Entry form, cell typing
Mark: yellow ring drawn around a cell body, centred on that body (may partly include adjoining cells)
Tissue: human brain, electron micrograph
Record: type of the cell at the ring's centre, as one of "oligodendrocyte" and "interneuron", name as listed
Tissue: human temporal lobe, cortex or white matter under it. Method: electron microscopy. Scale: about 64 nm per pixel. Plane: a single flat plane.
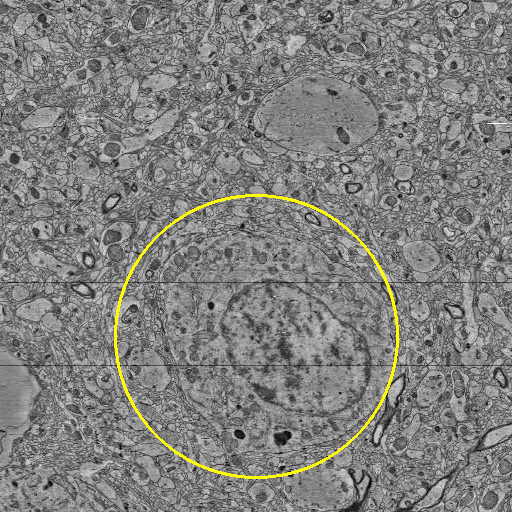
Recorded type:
interneuron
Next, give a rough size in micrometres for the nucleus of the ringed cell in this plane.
In this plane, approximately 10 by 7 micrometers.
